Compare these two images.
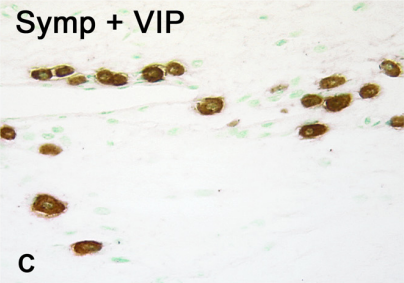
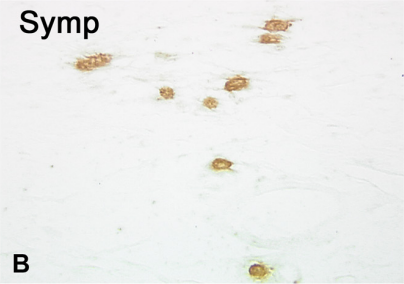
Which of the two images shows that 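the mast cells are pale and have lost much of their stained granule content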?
The second image.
